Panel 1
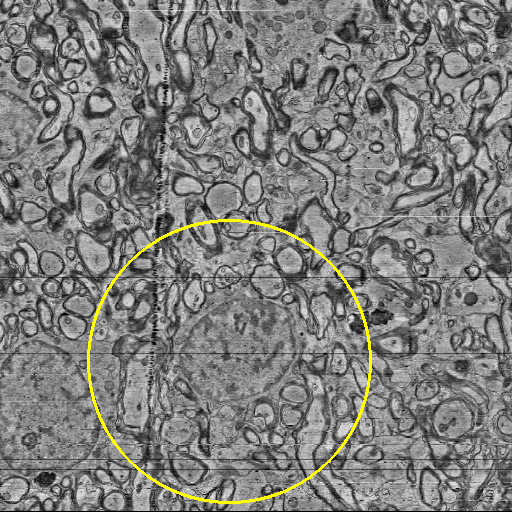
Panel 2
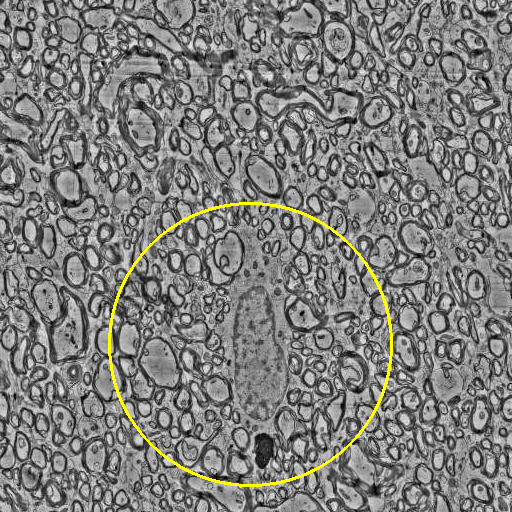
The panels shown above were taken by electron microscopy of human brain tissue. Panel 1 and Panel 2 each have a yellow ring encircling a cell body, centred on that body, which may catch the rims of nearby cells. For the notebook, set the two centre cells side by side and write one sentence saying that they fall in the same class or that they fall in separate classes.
The centred cells of Panel 1 and Panel 2 fall in the same class.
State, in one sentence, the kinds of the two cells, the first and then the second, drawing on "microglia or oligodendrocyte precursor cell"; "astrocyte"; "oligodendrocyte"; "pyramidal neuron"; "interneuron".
The first and the second cell are each an oligodendrocyte.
